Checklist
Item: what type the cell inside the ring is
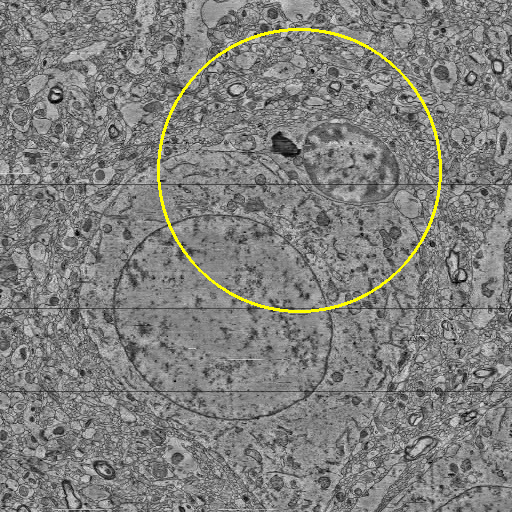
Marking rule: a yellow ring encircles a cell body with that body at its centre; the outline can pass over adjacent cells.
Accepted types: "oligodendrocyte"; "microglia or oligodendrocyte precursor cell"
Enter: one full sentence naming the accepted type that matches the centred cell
The entry is that an oligodendrocyte lies at the centre of the yellow ring.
